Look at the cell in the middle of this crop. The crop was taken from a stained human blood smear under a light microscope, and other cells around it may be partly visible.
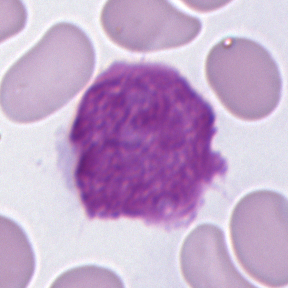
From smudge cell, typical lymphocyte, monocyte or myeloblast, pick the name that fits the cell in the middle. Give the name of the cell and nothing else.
smudge cell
